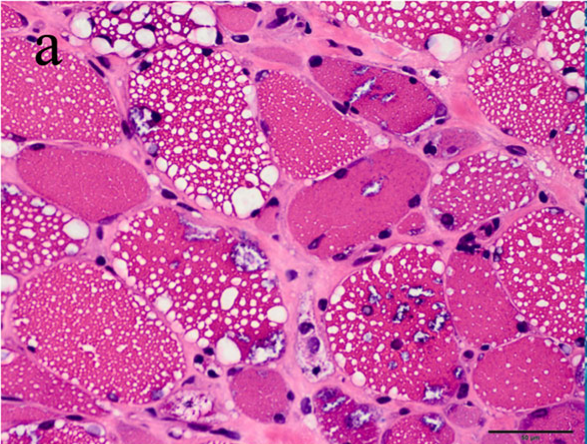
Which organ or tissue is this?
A: myofibers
